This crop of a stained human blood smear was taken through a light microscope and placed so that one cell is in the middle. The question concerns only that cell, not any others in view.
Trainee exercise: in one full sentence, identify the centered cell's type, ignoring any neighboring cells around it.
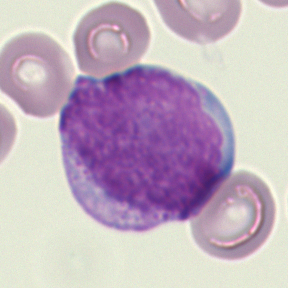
In the central position of this crop, the cell is an atypical promyelocyte.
